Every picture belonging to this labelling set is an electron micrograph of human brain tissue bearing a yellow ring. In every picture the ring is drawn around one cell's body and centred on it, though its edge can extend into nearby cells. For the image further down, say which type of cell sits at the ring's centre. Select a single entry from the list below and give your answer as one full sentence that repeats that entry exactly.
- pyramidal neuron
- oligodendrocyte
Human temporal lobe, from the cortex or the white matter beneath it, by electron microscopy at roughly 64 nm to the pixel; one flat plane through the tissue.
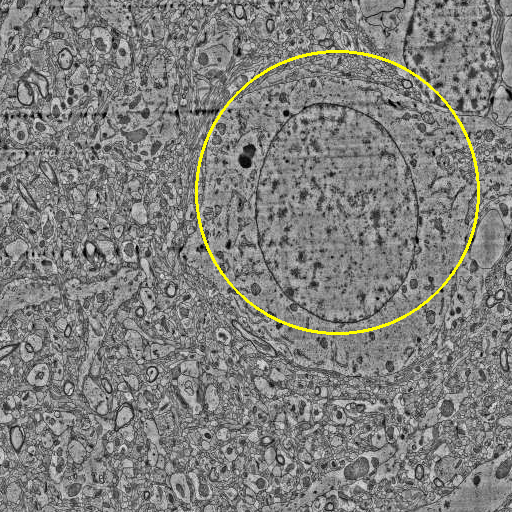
In the picture, a pyramidal neuron is the cell at the centre of the yellow ring.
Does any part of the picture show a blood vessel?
No, no blood vessel can be seen.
